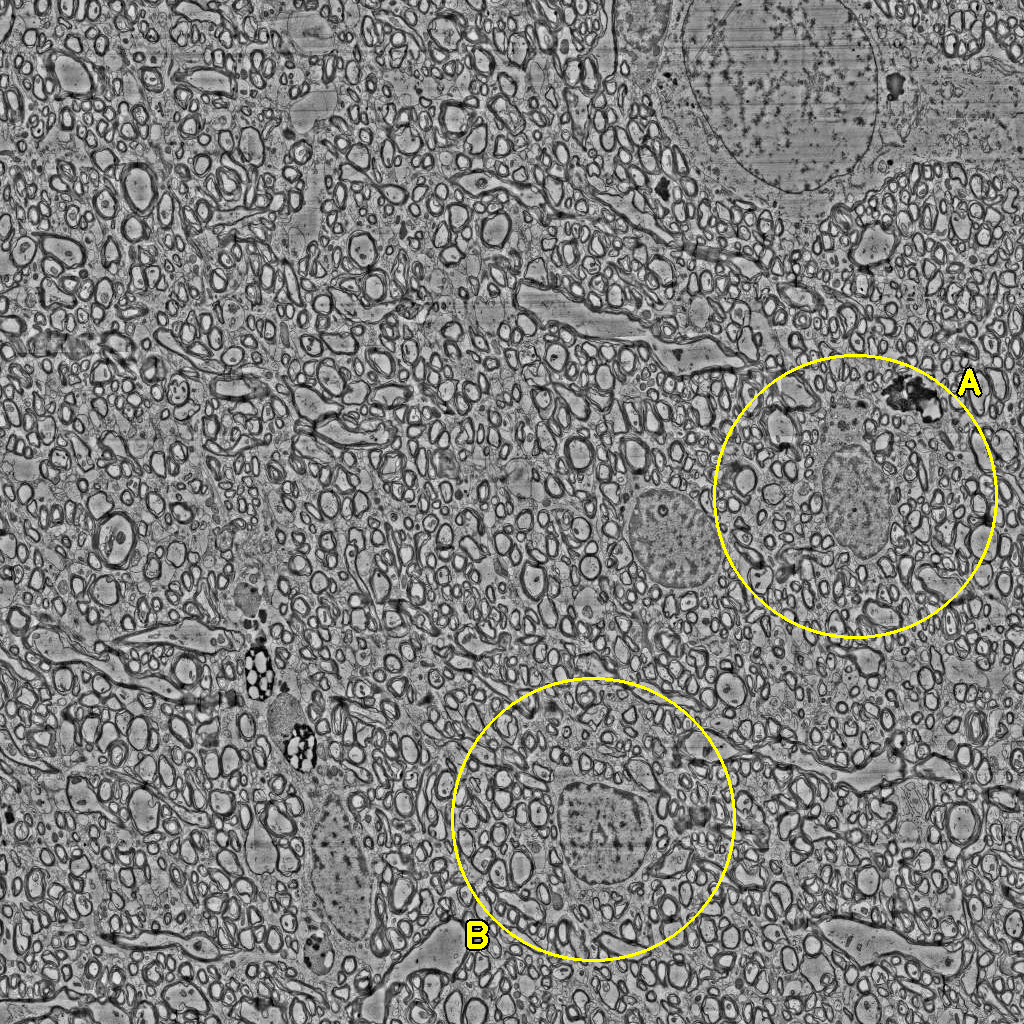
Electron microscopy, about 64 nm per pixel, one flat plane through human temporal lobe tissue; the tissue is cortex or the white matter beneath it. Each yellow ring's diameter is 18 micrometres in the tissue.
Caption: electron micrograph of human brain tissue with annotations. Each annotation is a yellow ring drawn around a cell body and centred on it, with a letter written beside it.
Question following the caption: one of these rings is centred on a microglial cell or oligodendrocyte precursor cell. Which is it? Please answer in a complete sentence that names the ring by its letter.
The ring with the letter B is centred on it.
